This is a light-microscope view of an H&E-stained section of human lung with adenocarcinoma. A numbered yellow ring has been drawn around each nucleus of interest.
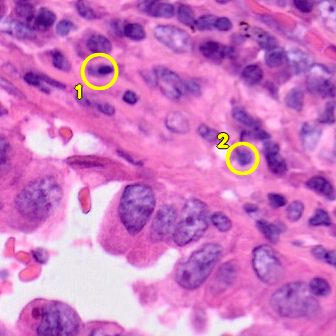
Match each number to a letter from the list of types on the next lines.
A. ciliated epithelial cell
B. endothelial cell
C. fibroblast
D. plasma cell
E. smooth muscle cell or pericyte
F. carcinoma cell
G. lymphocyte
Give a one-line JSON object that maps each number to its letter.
{"1": "D", "2": "G"}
